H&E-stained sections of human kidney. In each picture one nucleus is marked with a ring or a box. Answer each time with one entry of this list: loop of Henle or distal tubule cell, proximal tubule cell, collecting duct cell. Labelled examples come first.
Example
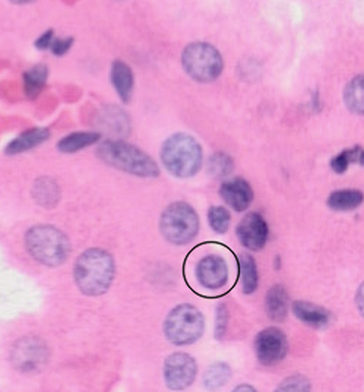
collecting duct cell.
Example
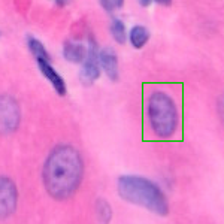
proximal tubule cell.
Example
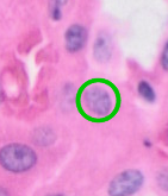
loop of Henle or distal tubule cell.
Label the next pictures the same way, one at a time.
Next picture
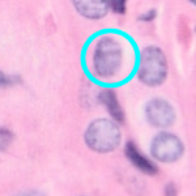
collecting duct cell.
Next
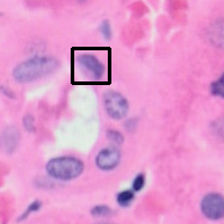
collecting duct cell.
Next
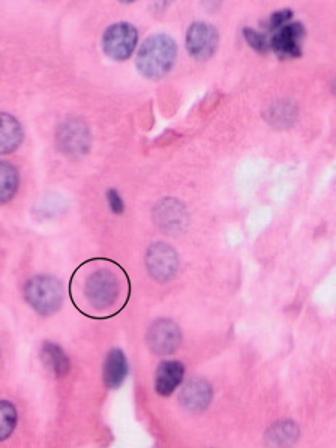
proximal tubule cell.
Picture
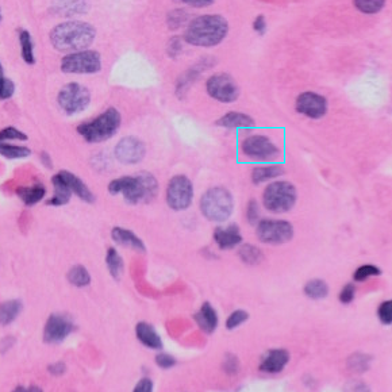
collecting duct cell.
